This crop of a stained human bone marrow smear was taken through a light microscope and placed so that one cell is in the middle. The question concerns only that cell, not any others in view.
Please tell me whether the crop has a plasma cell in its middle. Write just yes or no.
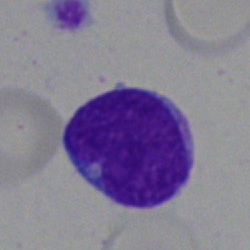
no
